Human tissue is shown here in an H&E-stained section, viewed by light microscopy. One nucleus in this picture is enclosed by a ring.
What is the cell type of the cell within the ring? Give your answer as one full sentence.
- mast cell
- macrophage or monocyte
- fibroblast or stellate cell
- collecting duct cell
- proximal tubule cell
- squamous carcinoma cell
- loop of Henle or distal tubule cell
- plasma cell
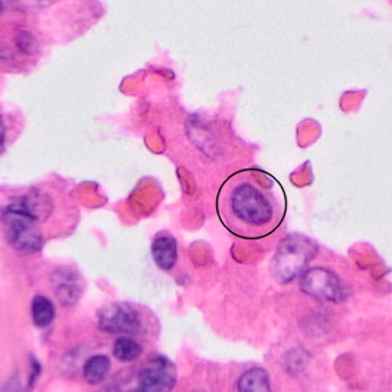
This is a macrophage or monocyte.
